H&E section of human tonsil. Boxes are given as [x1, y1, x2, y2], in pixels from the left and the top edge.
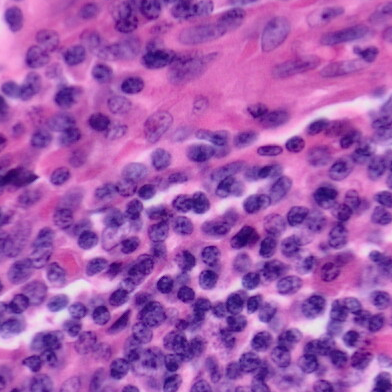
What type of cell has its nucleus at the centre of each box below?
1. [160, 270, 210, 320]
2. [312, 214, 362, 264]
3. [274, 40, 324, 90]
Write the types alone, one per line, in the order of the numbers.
small lymphocyte
plasma cell
endothelial cell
